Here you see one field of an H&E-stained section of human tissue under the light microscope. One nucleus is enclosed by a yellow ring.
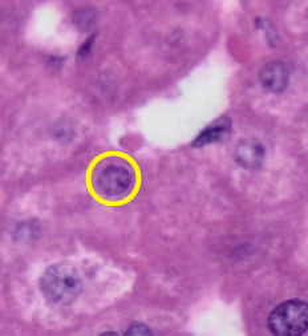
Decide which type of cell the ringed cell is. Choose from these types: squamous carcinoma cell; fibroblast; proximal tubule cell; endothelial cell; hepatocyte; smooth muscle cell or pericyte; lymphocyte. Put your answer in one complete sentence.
Placed in its cell category, the ringed cell is a hepatocyte.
